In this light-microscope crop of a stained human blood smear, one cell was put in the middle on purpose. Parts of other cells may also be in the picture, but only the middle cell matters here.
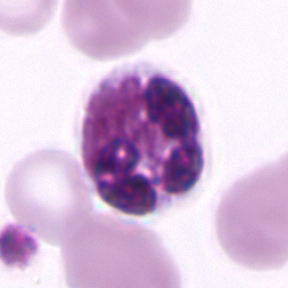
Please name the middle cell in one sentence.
Classified as an eosinophil is the cell in the middle of this crop.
